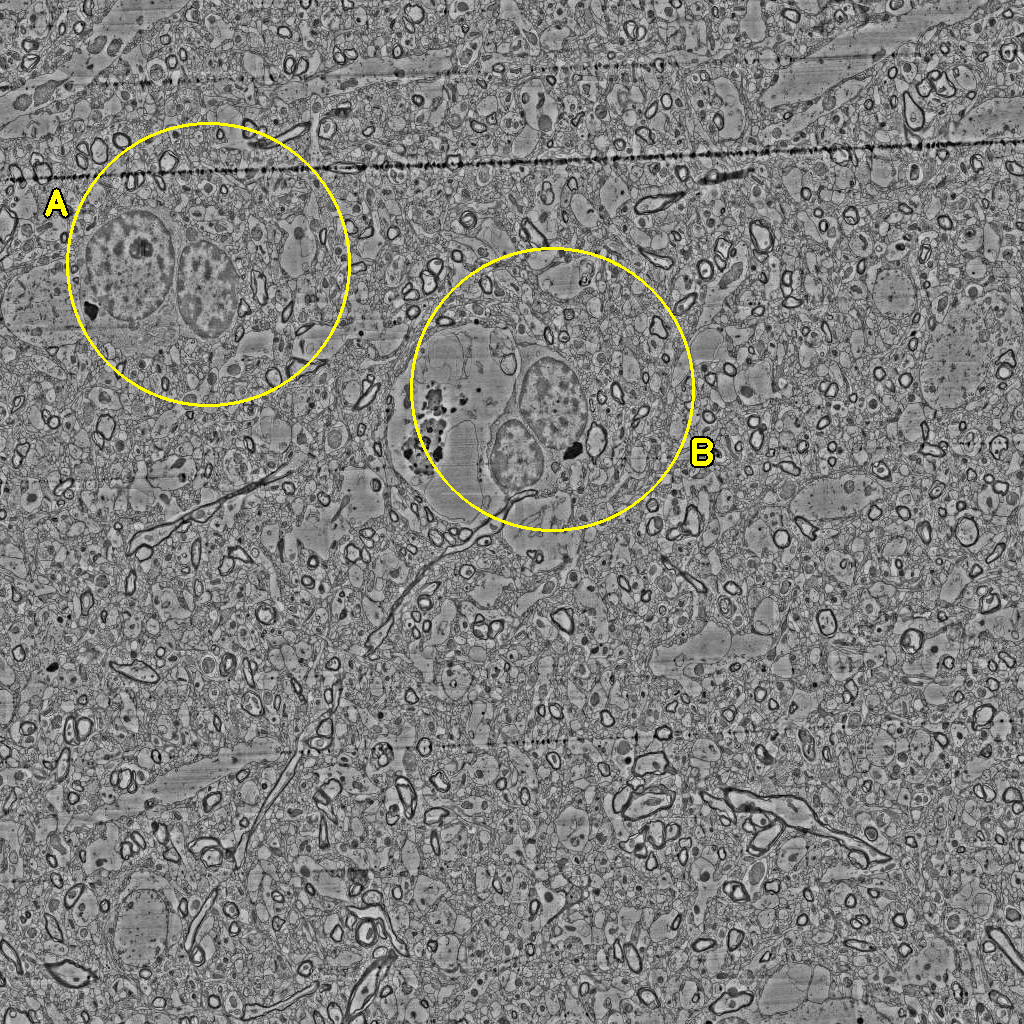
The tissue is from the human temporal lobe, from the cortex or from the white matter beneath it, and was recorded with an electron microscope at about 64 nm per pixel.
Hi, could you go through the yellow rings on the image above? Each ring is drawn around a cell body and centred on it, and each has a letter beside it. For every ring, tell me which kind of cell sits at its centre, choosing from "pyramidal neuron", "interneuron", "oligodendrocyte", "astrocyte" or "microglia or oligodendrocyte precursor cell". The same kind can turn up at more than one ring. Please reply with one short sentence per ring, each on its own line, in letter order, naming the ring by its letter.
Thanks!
Ring A is centred on an oligodendrocyte.
Ring B is centred on an oligodendrocyte.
